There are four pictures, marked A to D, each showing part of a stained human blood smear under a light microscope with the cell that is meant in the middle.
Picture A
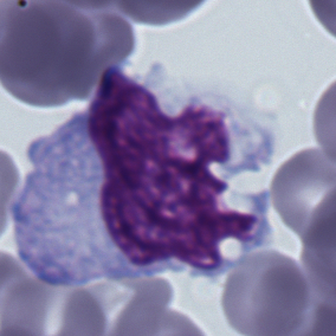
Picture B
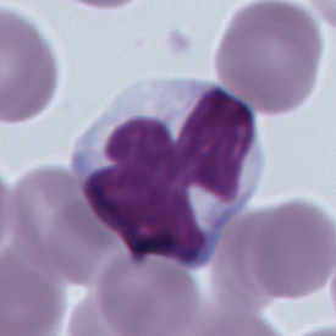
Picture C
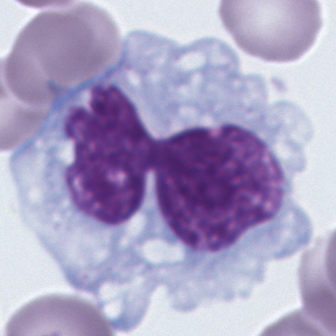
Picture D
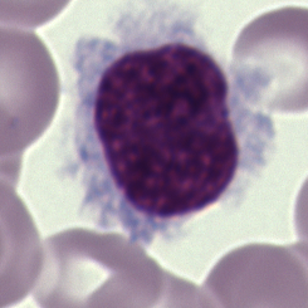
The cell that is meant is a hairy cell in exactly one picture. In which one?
D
